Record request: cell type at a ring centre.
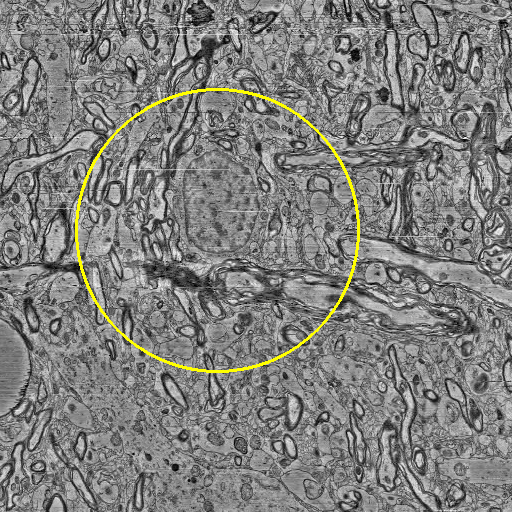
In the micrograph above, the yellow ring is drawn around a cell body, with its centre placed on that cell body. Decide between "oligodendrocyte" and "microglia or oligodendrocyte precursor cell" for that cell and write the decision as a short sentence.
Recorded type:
The cell centred in the yellow ring is an oligodendrocyte.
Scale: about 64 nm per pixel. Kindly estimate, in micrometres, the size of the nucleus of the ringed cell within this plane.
Approximately 7 x 5 micrometres in this plane.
